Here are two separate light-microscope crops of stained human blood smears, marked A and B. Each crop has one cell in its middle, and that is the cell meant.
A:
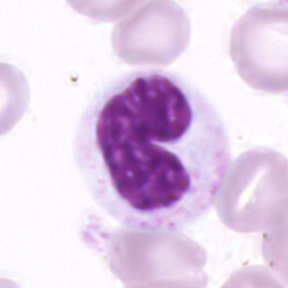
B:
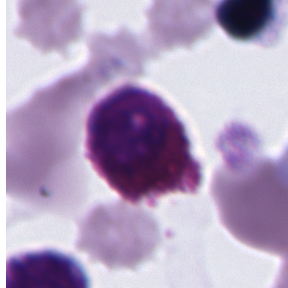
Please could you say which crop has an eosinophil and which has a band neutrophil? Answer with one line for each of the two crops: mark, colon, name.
A: band neutrophil
B: eosinophil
